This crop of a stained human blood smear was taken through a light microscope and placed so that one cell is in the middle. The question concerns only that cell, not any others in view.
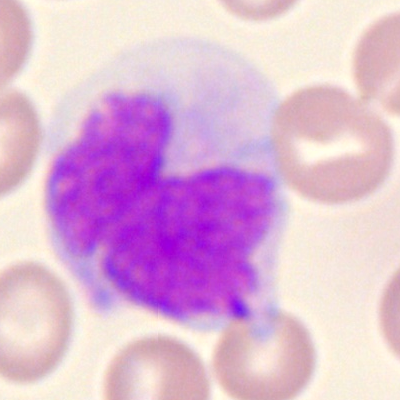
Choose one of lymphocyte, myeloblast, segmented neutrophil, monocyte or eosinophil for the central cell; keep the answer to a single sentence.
In this crop, the cell at the very middle is a monocyte.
